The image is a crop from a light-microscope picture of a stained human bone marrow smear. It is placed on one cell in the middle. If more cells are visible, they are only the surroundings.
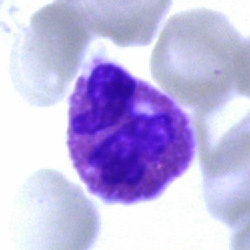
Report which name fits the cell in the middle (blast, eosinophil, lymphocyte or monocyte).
eosinophil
